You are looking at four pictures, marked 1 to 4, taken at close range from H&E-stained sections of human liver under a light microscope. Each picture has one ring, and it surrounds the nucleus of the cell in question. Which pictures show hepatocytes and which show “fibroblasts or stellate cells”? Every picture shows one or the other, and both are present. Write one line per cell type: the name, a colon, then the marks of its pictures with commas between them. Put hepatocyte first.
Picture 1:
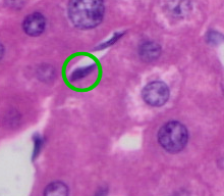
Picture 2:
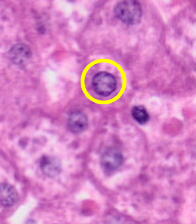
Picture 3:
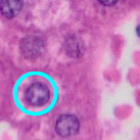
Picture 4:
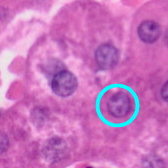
hepatocyte: 2, 3, 4
fibroblast or stellate cell: 1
